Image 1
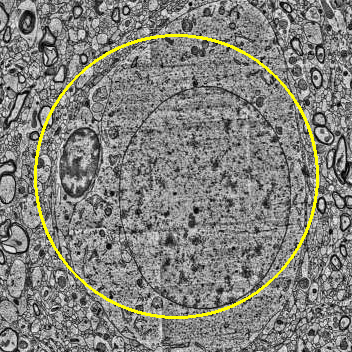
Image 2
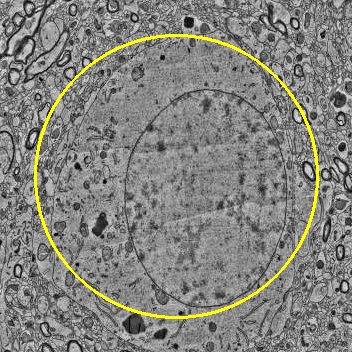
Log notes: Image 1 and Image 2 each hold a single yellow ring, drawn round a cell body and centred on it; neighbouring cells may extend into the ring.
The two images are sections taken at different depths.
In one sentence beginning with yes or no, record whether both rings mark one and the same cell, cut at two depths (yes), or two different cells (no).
Yes, the two yellow circles hold the same cell.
